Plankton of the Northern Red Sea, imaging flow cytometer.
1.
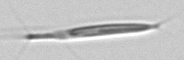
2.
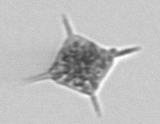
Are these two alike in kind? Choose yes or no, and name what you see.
No. First Calciosolenia, second a silicoflagellate.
